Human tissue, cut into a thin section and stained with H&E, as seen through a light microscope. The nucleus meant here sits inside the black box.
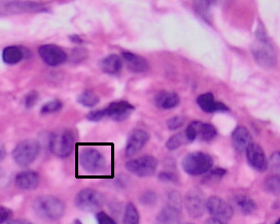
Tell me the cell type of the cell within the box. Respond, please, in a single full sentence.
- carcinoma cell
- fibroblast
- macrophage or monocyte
In short, the cell within the box on this section is a macrophage or monocyte.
